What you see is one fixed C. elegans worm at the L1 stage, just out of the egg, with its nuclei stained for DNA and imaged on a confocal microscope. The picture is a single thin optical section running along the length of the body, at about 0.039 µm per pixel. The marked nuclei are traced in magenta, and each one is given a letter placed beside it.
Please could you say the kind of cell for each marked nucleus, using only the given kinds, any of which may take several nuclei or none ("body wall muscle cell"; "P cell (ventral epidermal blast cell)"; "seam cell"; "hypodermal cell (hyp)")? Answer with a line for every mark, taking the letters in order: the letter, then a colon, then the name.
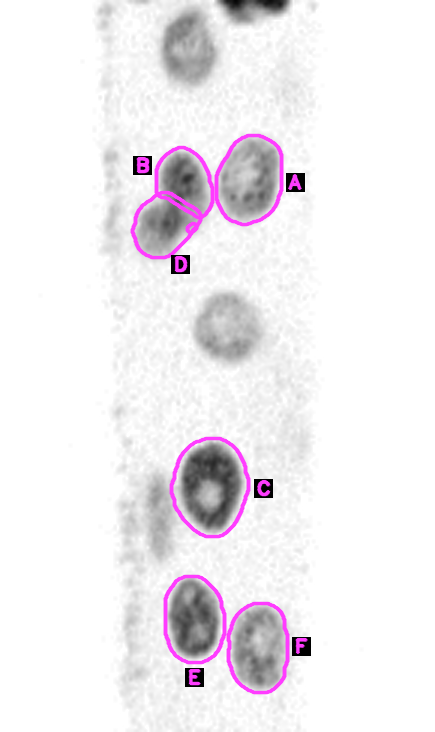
A: hypodermal cell (hyp)
B: P cell (ventral epidermal blast cell)
C: seam cell
D: body wall muscle cell
E: P cell (ventral epidermal blast cell)
F: hypodermal cell (hyp)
